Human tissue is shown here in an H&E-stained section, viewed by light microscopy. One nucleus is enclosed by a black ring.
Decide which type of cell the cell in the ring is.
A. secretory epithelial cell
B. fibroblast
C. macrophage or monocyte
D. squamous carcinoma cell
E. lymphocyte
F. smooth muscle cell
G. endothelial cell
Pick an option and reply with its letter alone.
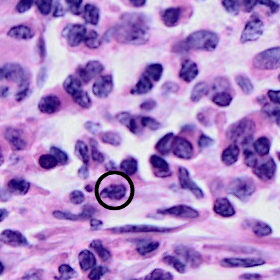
E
